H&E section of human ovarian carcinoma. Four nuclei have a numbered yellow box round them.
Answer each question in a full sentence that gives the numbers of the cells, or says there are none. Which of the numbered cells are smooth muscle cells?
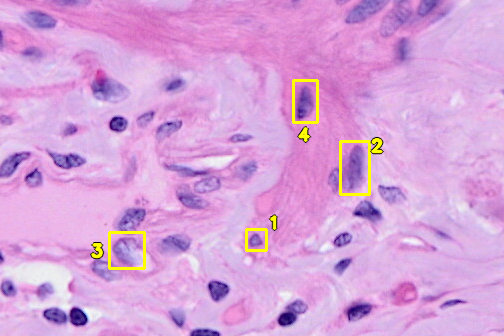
The cells which carry the numbers 1, 2 and 4 are smooth muscle cells.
